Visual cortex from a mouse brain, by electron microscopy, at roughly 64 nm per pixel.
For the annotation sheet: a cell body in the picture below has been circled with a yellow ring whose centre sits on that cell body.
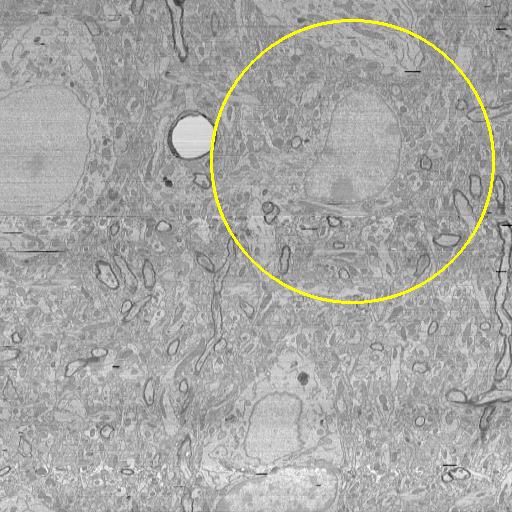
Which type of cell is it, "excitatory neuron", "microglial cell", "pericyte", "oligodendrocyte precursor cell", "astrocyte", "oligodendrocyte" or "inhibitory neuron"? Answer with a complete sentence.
The circled cell is an astrocyte.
